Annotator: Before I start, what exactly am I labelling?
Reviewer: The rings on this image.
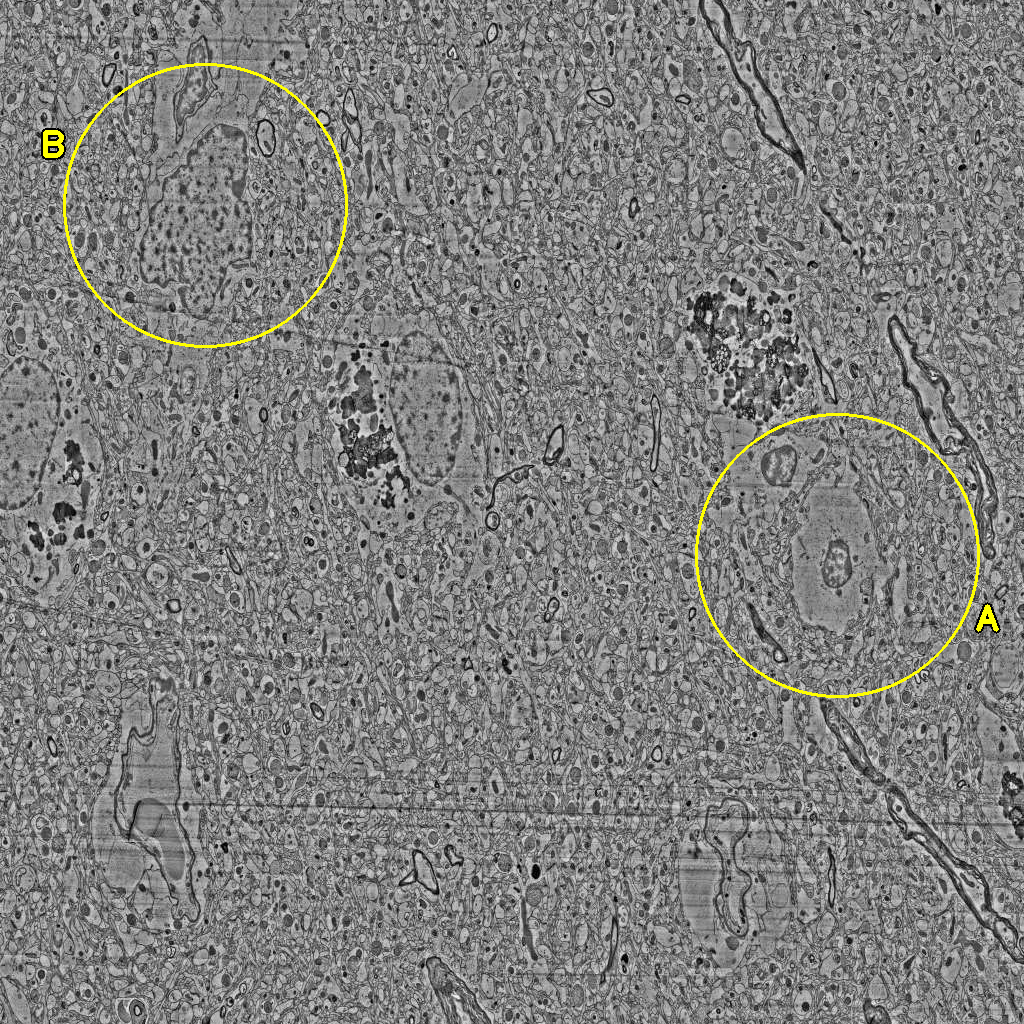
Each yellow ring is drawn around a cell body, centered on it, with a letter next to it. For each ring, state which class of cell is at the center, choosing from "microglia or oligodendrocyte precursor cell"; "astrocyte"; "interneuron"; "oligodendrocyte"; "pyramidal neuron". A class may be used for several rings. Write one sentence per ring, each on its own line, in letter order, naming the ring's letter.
At the center of ring A we have an astrocyte.
At the center of ring B we have a microglial cell or oligodendrocyte precursor cell.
